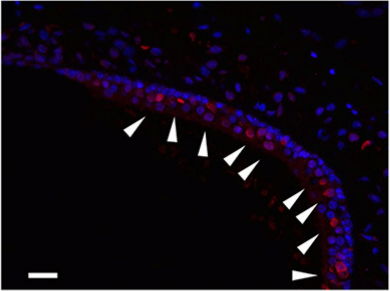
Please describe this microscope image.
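The epithelium is several nuclei thick, its blue oval nuclei crowded in rows along the curve. Beneath the epithelium, the looser connective tissue carries scattered blue nuclei with more space between them. The dark lumen on the concave side contains no cells.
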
